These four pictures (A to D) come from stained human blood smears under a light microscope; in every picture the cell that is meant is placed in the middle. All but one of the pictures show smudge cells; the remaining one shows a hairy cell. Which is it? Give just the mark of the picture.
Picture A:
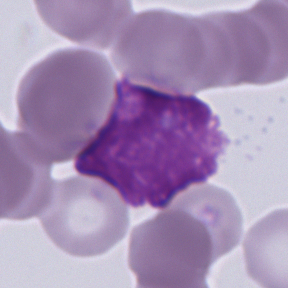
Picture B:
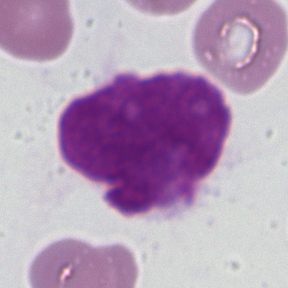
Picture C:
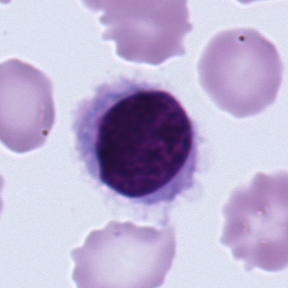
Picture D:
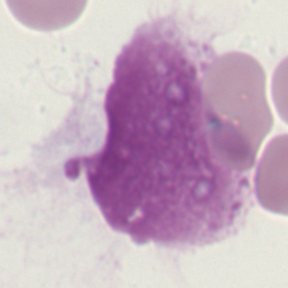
C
